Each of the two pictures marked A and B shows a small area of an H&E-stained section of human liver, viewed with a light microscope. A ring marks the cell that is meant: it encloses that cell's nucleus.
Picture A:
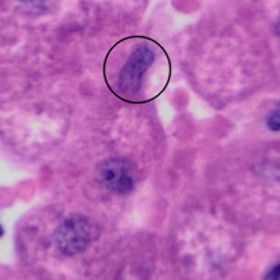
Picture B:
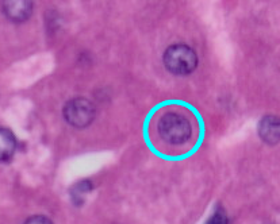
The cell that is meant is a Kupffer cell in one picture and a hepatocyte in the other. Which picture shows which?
A: Kupffer cell
B: hepatocyte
